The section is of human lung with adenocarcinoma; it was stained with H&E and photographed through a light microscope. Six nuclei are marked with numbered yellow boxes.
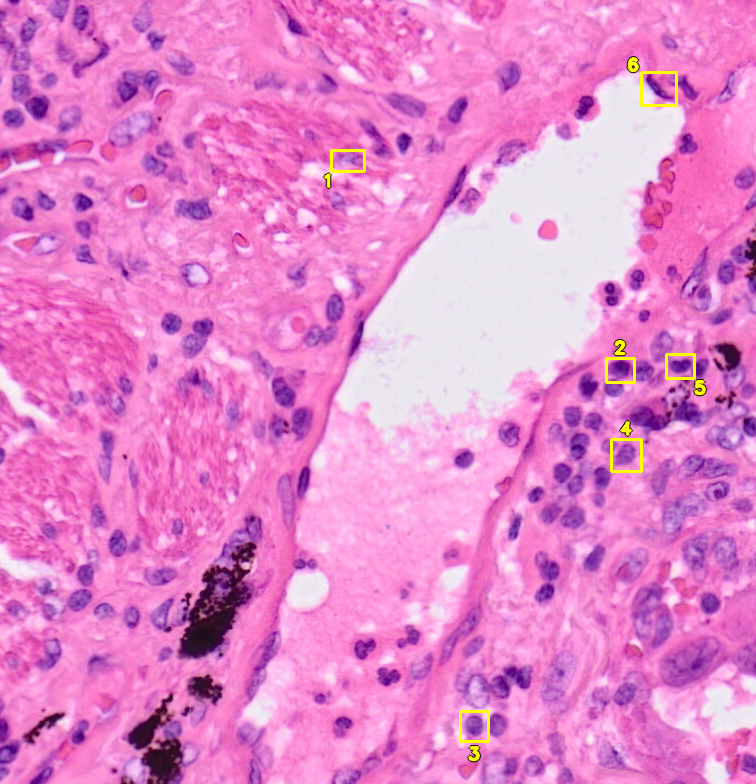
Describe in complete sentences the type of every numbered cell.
Cell 1 is a smooth muscle cell or pericyte, cell 2 is a lymphocyte, cell 3 is a lymphocyte, cell 4 is a lymphocyte, cell 5 is a lymphocyte and cell 6 is an endothelial cell.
